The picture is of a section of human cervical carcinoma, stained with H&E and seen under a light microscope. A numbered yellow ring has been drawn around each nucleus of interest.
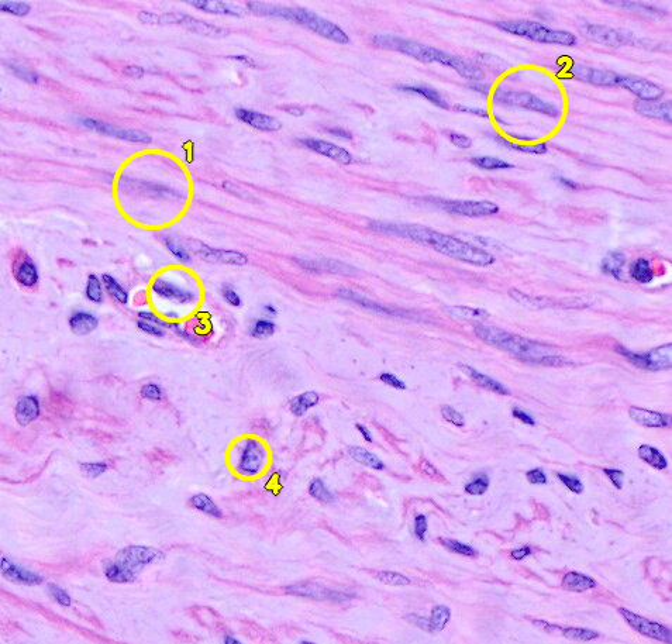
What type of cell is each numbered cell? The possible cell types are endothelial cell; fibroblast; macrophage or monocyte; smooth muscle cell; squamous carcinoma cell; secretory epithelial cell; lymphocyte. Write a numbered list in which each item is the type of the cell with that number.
1. smooth muscle cell
2. smooth muscle cell
3. endothelial cell
4. smooth muscle cell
